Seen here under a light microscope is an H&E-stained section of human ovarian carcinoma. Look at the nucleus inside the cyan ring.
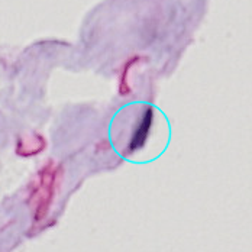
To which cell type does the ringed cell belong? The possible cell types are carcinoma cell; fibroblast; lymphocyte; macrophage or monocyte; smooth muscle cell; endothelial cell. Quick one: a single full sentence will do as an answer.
Assigned to a cell type, the ringed cell is an endothelial cell.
